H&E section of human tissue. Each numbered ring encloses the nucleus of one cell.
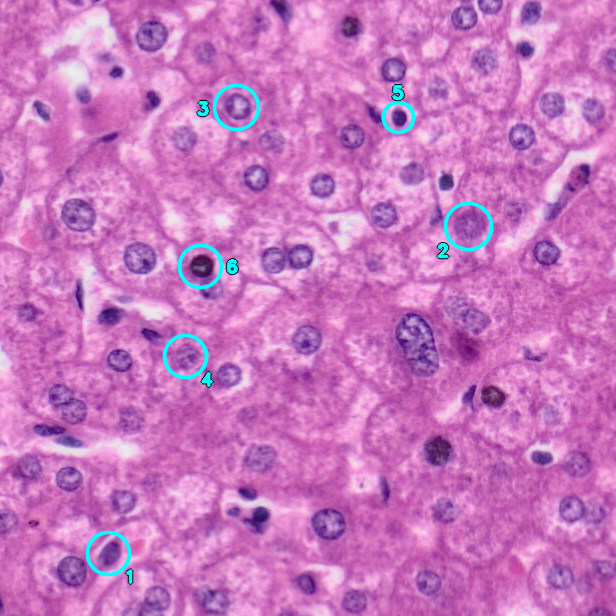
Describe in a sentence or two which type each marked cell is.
Cell 1 is a Kupffer cell. Cells 2, 3, 4 and 6 are hepatocytes. Cell 5 is a lymphocyte.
